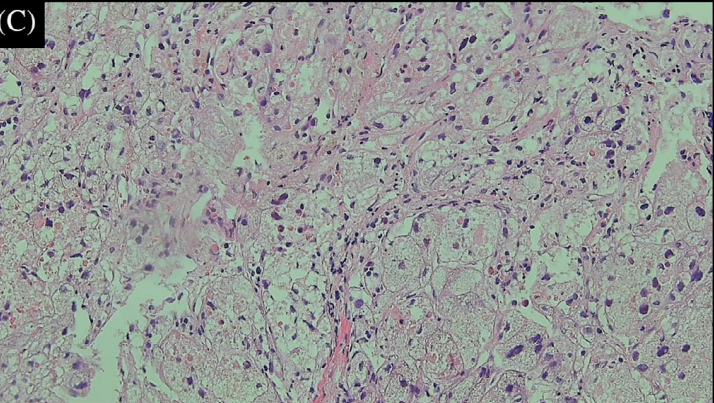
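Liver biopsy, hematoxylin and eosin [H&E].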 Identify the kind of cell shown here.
lipid-laden macrophages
